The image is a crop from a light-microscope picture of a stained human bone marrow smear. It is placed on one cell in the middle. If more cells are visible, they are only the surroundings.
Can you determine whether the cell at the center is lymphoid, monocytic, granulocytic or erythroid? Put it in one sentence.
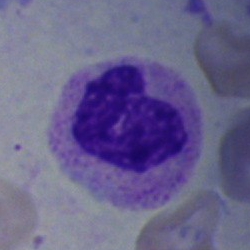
Lineage designation for the cell in the middle reads granulocytic.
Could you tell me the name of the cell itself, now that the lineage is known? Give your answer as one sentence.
The cell at the middle of the crop is recognized as a band neutrophil.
